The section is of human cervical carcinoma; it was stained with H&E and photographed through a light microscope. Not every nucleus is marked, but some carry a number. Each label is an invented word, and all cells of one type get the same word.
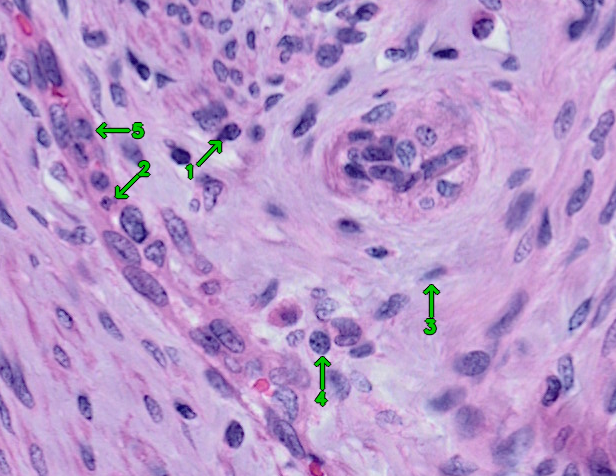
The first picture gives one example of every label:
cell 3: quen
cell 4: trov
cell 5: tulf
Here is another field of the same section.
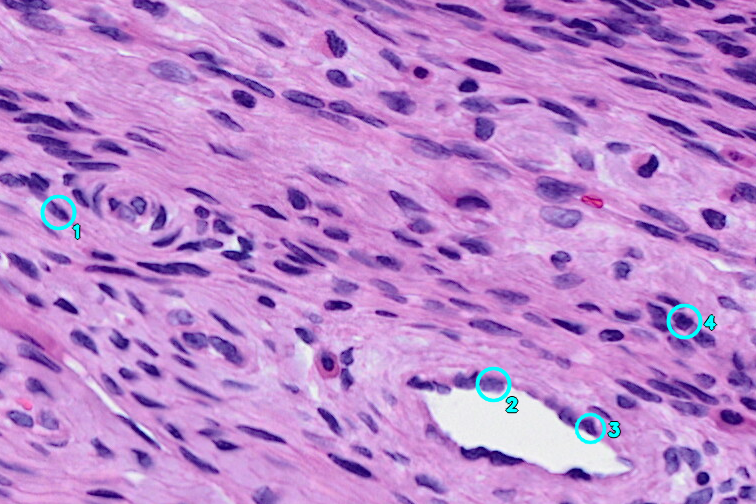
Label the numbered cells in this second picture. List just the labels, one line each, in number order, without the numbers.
quen
tulf
tulf
trov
